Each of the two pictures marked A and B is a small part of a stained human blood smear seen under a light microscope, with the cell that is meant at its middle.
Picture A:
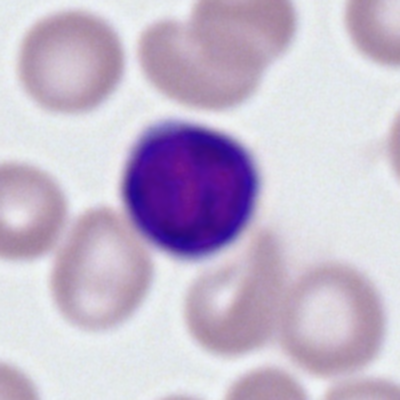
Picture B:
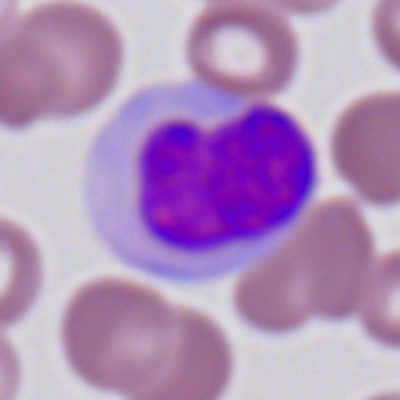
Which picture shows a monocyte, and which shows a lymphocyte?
A: lymphocyte
B: monocyte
